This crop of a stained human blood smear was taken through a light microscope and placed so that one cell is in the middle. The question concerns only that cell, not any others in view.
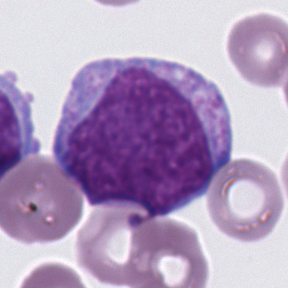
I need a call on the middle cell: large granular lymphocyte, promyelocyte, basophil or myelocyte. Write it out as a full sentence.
The cell under consideration, at the middle of the crop, is a promyelocyte.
